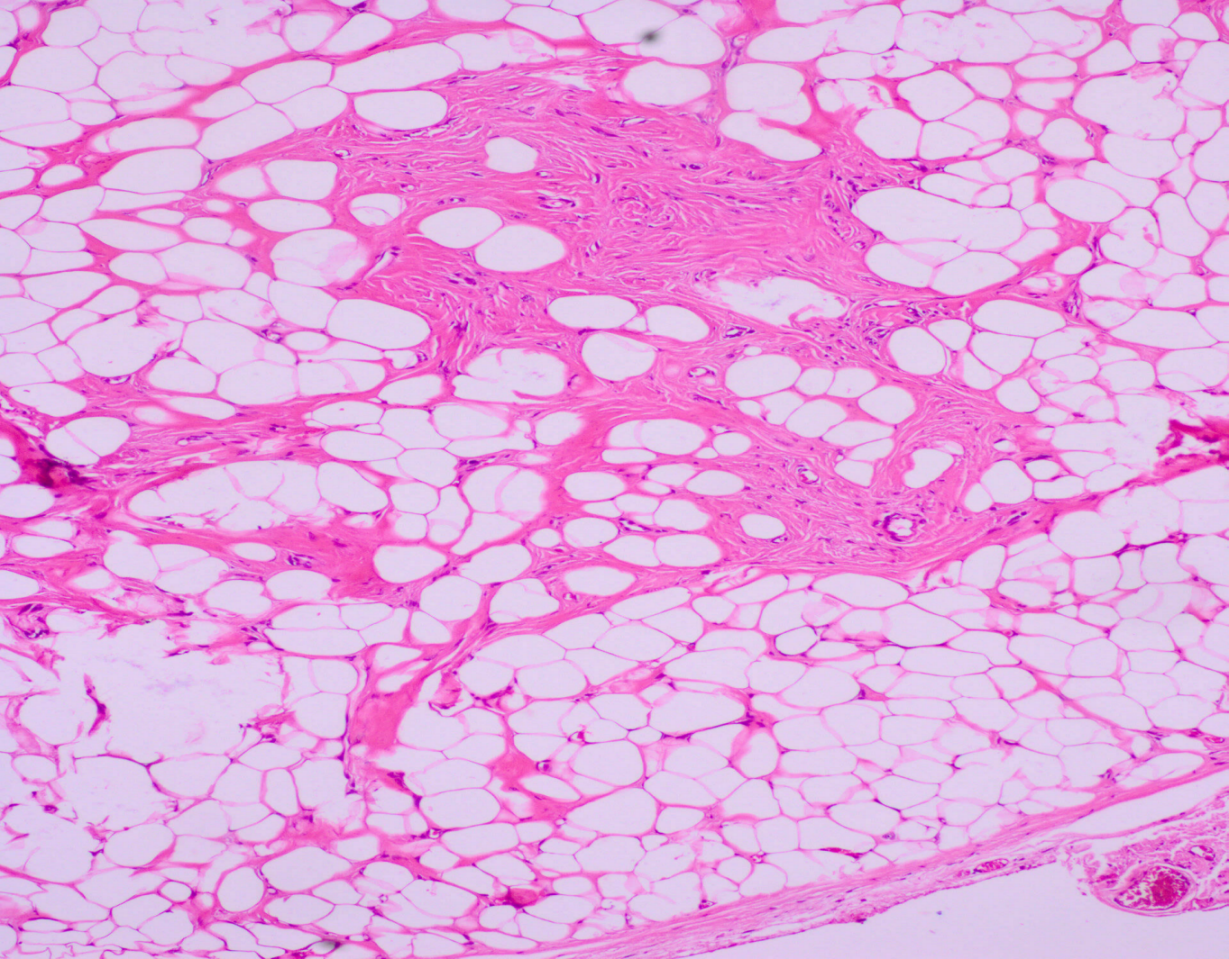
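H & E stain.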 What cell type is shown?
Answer: mature adipocytes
